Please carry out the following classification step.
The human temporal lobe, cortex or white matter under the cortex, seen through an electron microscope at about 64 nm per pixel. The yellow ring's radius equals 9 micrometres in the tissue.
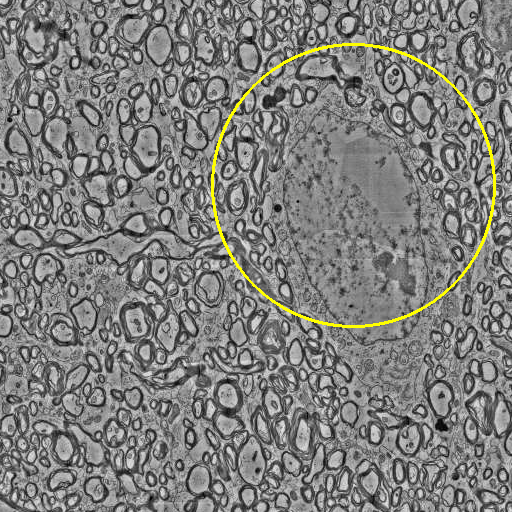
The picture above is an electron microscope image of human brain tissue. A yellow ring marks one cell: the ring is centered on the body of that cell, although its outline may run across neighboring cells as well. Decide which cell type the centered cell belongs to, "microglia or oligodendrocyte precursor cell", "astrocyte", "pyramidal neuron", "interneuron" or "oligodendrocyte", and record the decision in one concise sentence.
The cell centered in the yellow ring is a pyramidal neuron.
